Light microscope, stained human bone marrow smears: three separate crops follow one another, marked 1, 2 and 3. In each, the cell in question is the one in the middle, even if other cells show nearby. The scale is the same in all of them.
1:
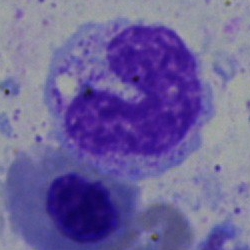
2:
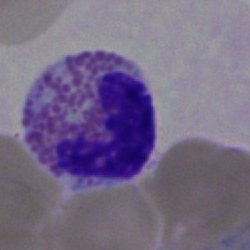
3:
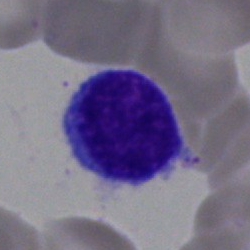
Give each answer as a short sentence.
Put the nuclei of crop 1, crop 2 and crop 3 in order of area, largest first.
Going down, they run 1, 3, 2.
